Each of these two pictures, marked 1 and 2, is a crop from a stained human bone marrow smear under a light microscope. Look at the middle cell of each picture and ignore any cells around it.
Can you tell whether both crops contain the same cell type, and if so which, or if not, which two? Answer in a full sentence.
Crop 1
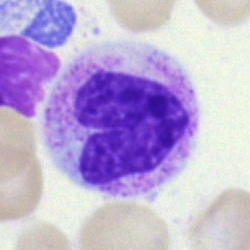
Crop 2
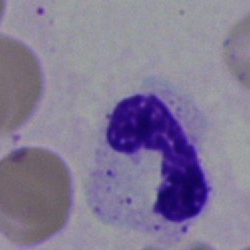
Yes, both crops show band neutrophils, with no exception.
